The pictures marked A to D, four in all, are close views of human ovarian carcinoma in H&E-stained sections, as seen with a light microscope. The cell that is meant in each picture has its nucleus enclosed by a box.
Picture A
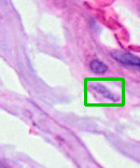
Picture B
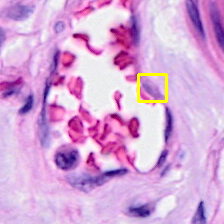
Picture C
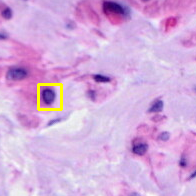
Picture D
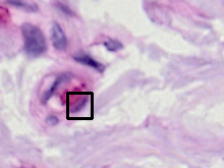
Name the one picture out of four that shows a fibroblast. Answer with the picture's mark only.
A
